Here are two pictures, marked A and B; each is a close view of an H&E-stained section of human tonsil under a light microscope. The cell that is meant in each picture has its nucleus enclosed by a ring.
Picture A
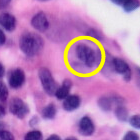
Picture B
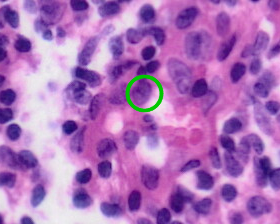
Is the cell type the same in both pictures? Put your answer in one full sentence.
Yes, they are the same type: both are endothelial cells.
